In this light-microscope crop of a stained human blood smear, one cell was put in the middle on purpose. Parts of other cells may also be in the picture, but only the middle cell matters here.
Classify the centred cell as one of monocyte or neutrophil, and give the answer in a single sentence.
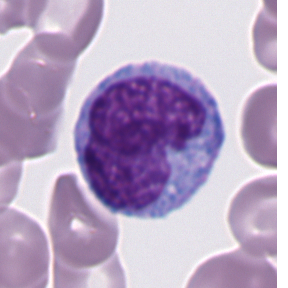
In short, the cell at the center is a monocyte.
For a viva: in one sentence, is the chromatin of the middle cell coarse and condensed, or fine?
Coarse clumps are absent, and the chromatin is fine throughout.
